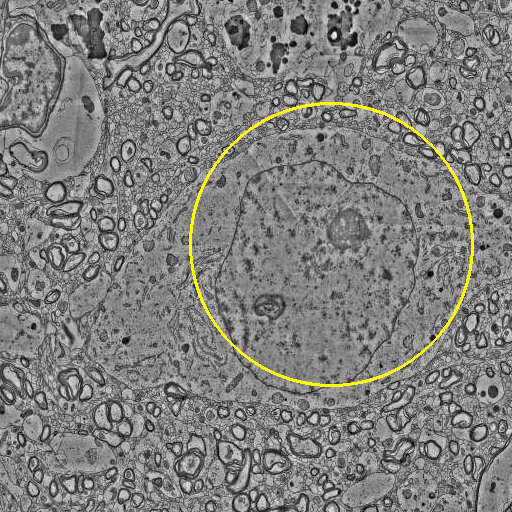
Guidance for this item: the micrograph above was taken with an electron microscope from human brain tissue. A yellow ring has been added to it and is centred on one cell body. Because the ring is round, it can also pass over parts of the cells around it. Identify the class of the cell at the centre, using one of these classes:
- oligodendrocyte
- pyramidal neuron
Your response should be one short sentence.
The ring surrounds the body of a pyramidal neuron.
